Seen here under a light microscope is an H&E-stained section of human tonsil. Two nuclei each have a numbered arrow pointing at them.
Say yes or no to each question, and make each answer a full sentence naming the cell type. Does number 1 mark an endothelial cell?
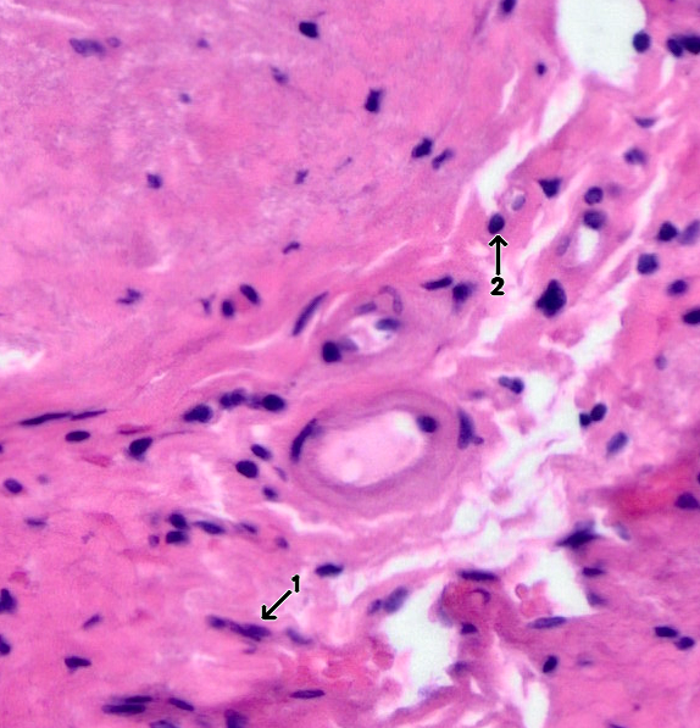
Yes, in this tissue section, number 1 is an endothelial cell.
